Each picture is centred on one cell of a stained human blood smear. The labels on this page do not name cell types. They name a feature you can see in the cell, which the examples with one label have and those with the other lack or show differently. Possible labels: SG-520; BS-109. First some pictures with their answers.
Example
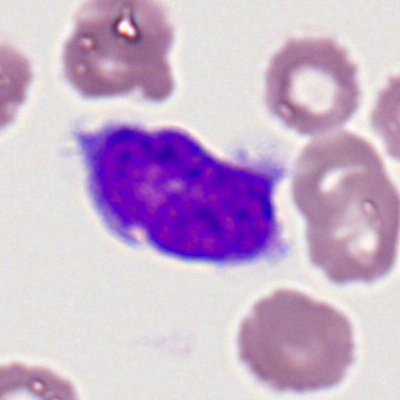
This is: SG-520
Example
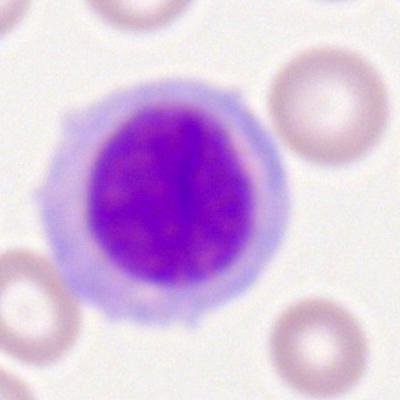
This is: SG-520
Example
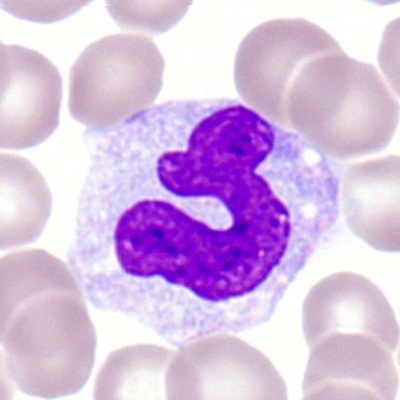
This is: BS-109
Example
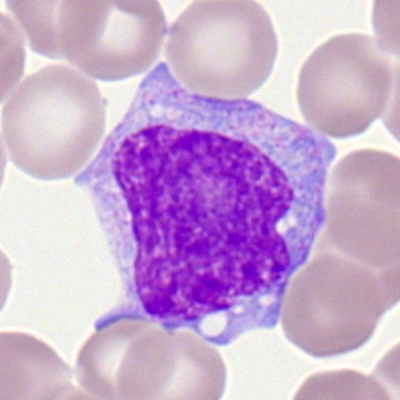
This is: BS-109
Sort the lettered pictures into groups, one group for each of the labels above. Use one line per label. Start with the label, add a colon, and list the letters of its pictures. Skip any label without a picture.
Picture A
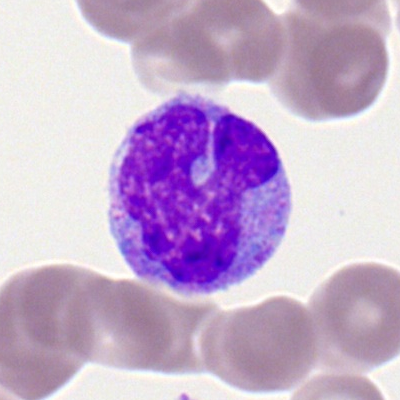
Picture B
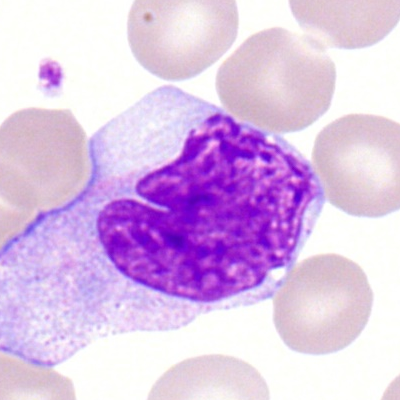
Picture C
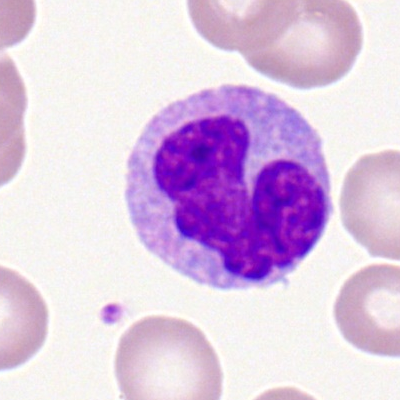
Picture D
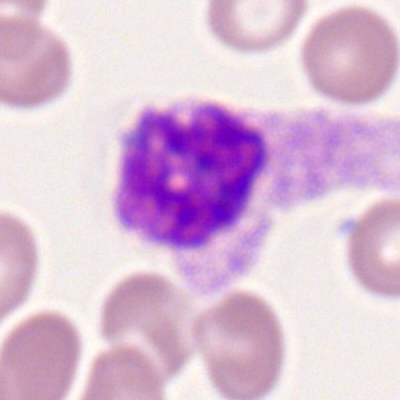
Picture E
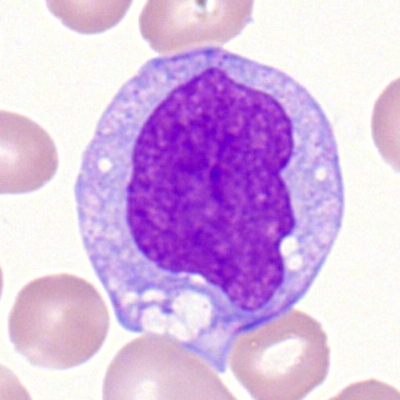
BS-109: A, B, C, D, E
